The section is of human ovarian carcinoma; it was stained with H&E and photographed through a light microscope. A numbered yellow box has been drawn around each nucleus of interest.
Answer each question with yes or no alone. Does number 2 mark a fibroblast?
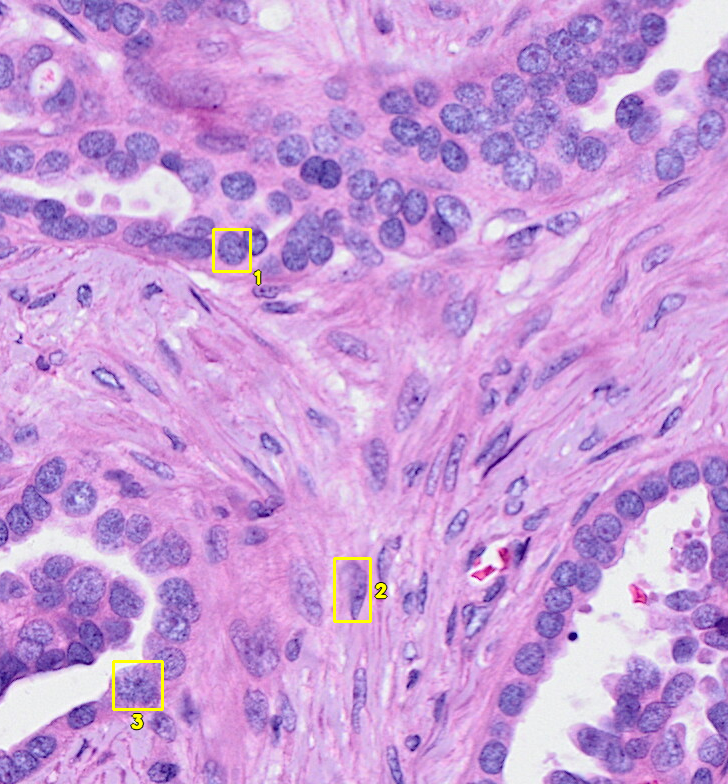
yes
